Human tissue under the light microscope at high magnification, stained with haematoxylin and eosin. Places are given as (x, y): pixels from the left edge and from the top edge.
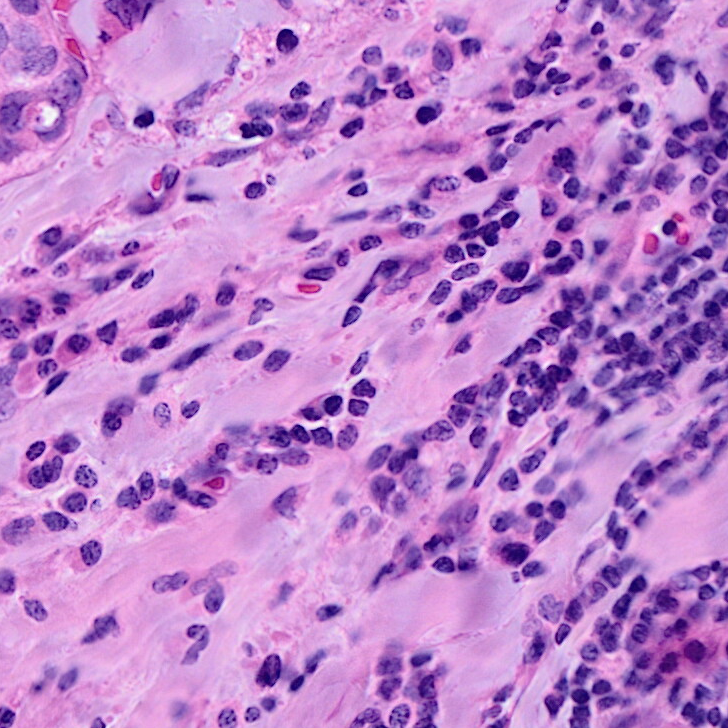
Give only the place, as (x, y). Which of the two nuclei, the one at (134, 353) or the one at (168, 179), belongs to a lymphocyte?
(134, 353)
